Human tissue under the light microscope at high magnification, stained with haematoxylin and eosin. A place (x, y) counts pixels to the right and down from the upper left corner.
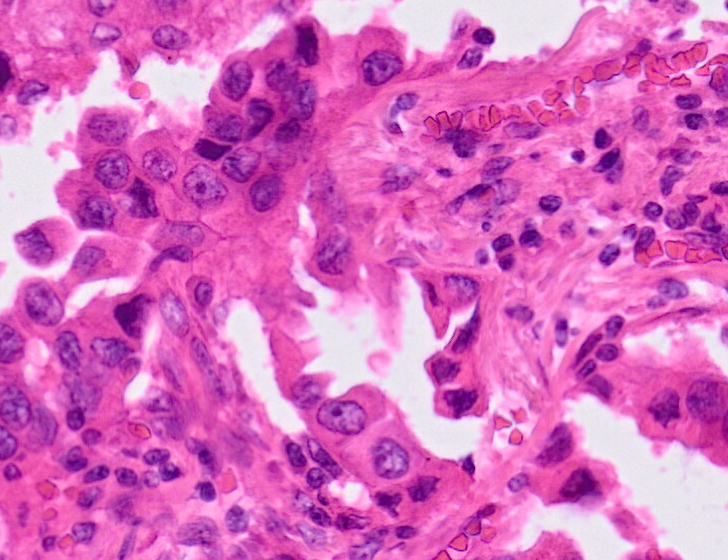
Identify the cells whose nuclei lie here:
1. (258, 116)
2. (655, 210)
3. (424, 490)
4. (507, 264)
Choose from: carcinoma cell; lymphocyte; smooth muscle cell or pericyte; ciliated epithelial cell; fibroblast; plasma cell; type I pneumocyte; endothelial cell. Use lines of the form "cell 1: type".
cell 1: carcinoma cell
cell 2: lymphocyte
cell 3: carcinoma cell
cell 4: plasma cell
